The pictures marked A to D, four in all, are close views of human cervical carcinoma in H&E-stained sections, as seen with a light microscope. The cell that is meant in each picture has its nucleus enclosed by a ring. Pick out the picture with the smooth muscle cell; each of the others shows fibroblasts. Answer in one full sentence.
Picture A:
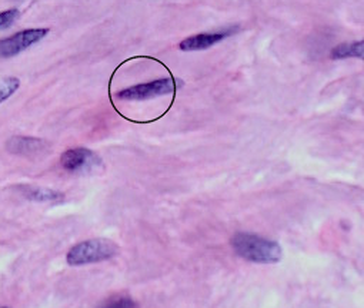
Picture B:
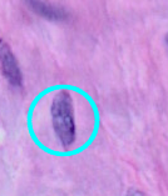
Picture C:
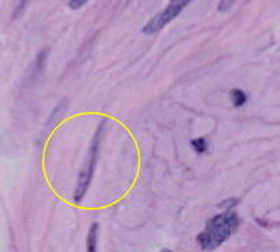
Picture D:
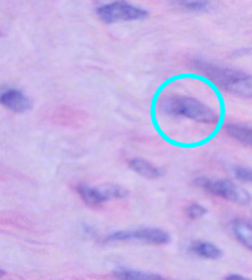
The smooth muscle cell is the one in picture D.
